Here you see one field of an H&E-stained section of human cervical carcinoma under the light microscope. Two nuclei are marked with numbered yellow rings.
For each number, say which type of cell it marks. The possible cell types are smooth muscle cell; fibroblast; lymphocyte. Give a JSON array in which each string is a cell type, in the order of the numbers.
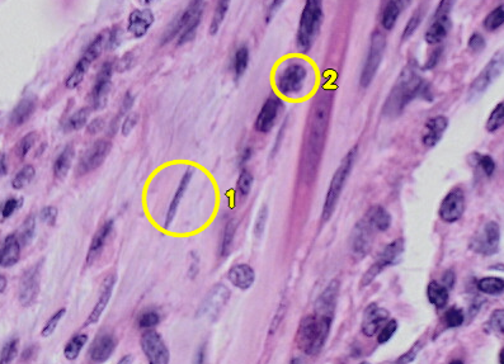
["fibroblast", "lymphocyte"]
